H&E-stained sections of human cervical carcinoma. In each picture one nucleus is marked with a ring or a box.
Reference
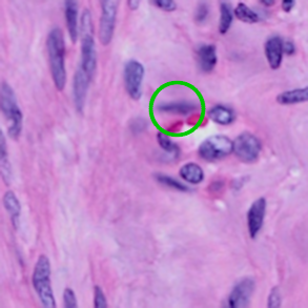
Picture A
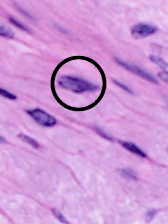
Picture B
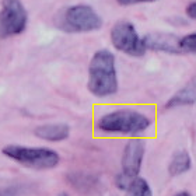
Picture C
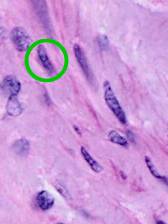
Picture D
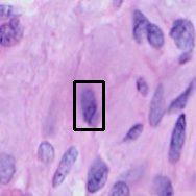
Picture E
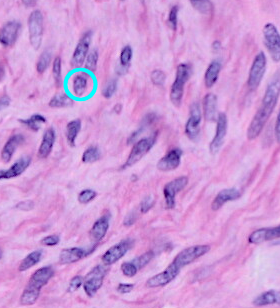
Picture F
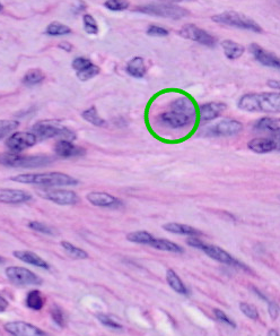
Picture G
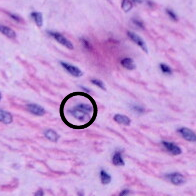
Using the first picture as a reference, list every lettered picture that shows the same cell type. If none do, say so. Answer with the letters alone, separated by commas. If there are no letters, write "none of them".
F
